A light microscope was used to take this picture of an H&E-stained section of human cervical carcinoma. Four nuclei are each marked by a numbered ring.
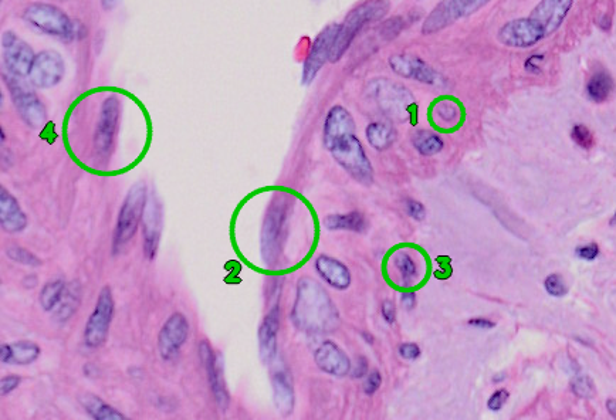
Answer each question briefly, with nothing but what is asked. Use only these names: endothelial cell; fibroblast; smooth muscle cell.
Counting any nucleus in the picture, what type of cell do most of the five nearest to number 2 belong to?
smooth muscle cell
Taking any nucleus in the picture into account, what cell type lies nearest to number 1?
smooth muscle cell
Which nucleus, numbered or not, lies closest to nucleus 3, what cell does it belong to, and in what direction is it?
a smooth muscle cell; below nucleus 3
